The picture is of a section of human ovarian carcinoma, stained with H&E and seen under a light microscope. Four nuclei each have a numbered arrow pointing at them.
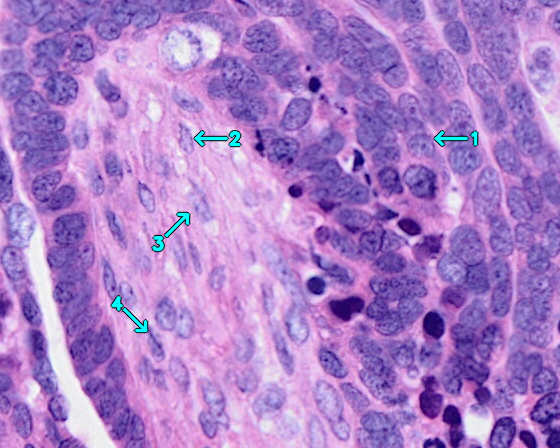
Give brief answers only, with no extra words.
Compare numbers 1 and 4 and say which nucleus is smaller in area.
4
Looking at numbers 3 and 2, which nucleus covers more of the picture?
3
